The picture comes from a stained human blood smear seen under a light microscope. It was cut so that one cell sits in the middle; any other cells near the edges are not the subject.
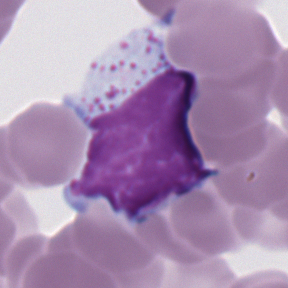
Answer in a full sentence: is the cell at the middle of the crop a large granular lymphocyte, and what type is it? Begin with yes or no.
Yes, the middle cell here is a large granular lymphocyte.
